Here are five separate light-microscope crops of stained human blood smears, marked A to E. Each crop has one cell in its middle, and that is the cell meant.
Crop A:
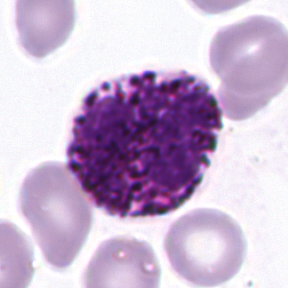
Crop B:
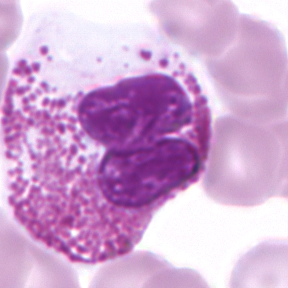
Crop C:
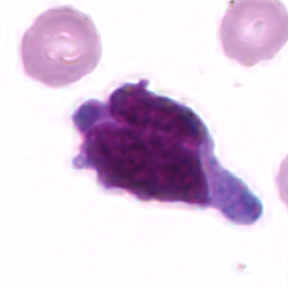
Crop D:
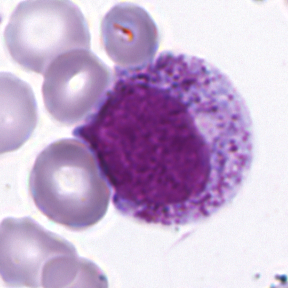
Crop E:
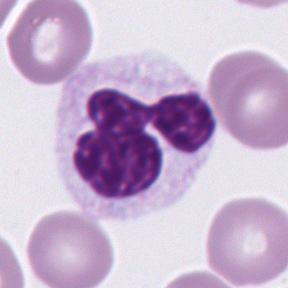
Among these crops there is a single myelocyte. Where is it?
D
